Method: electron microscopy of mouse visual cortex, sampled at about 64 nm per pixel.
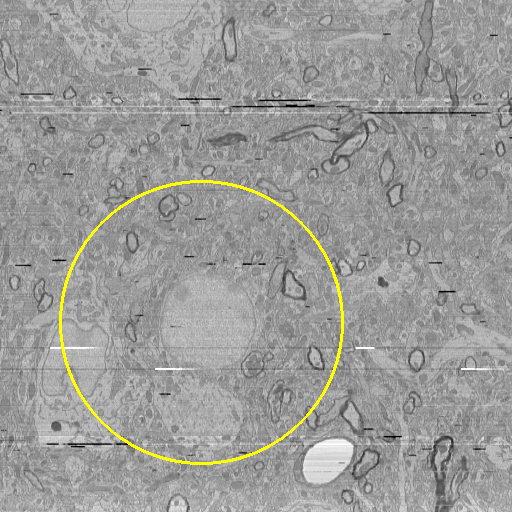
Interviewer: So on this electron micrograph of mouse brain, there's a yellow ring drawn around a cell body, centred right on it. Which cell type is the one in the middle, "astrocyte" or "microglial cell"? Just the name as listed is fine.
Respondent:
astrocyte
